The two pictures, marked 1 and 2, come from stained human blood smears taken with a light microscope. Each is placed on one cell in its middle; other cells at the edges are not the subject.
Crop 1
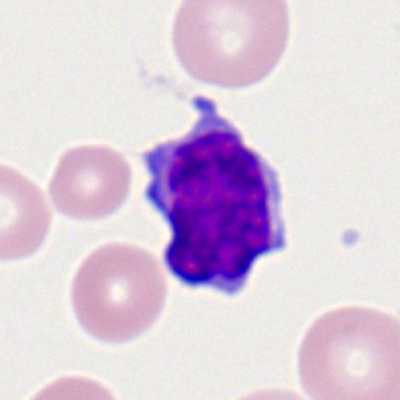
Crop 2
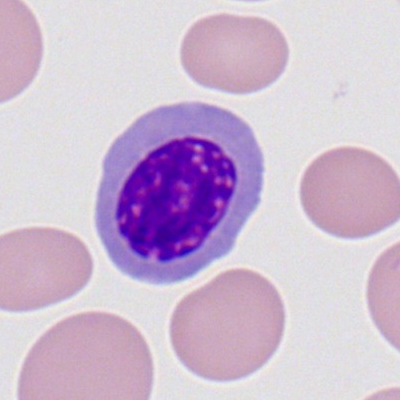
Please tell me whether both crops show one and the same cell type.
no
